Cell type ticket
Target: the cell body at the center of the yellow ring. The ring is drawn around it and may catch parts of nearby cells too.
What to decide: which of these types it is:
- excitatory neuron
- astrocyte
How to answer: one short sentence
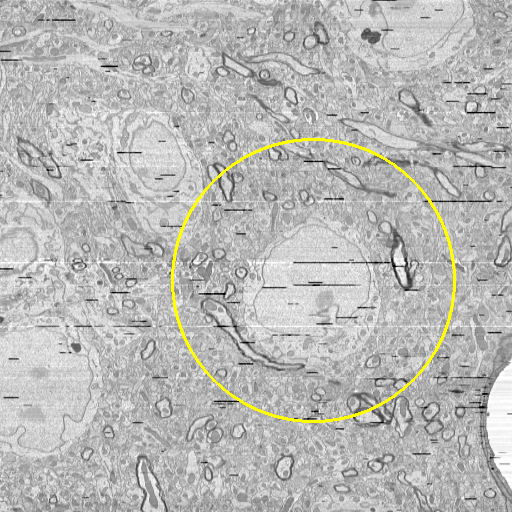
The cell at the center of the ring is an excitatory neuron.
